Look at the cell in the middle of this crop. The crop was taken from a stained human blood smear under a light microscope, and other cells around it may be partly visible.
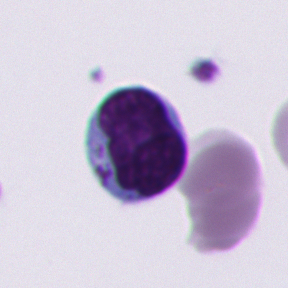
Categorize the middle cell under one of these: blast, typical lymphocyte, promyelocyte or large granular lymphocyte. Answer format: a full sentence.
Whatever else lies nearby, the middle cell is a typical lymphocyte.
